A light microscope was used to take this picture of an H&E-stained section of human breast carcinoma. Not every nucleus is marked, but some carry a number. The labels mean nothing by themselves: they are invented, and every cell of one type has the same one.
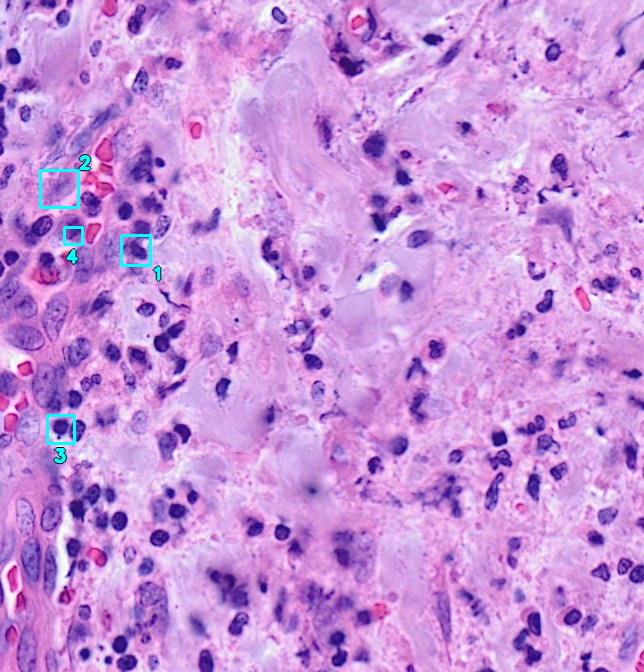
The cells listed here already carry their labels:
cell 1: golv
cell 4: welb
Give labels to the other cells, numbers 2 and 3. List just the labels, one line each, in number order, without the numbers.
welb
golv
